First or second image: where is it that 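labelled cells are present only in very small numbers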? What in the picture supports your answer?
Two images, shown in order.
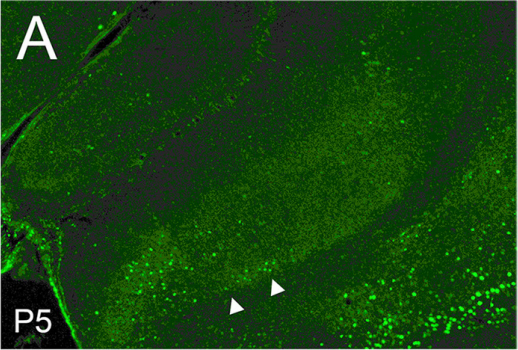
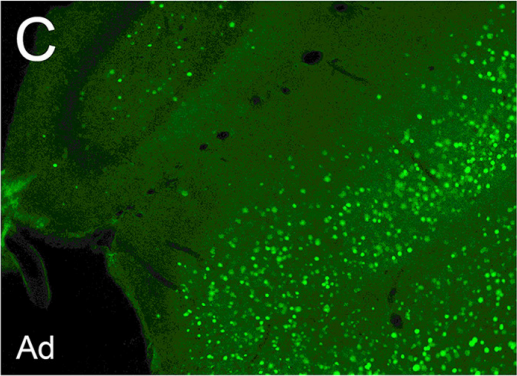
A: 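Second image: many bright green dots crowd a broad band across the lower right of the field. First image: only a few scattered bright green dots stand out against a faint green background. On this evidence: the first image.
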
